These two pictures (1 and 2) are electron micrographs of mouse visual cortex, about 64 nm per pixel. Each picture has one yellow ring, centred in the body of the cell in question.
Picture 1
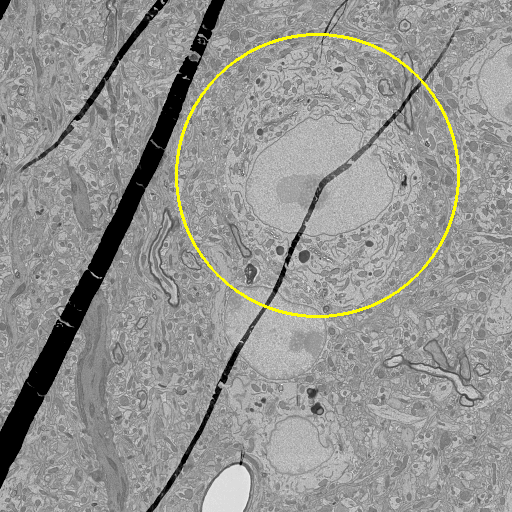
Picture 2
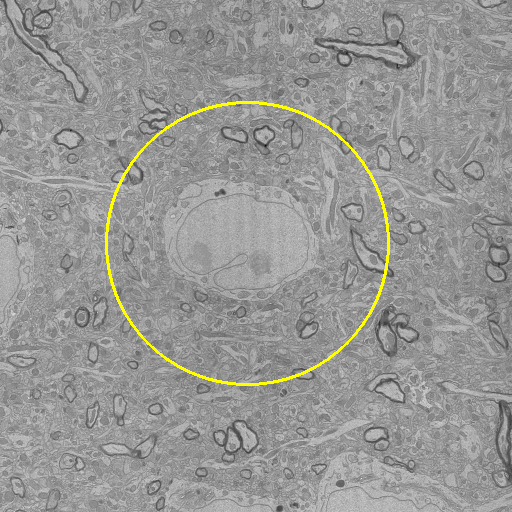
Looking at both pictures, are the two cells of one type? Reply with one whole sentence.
No, the types are not the same, since picture 1 shows an inhibitory neuron and picture 2 an excitatory neuron.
